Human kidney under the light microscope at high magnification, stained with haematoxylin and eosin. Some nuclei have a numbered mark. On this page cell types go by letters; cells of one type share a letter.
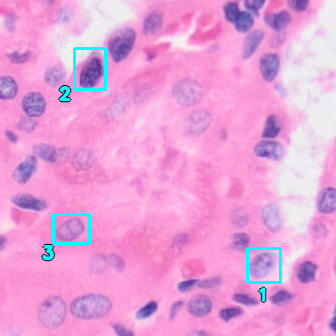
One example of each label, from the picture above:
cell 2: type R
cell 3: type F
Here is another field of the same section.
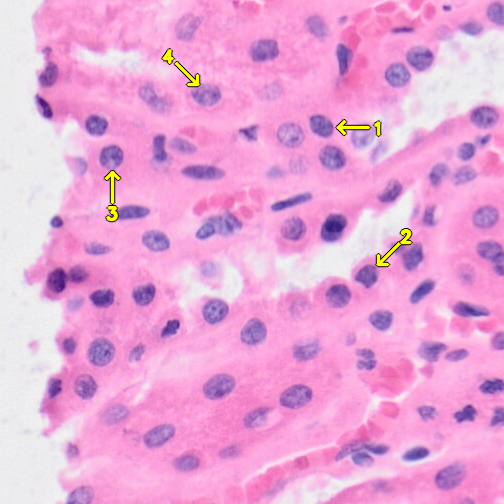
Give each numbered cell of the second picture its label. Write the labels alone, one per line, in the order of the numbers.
type R
type R
type R
type F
